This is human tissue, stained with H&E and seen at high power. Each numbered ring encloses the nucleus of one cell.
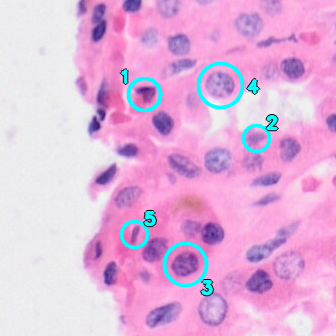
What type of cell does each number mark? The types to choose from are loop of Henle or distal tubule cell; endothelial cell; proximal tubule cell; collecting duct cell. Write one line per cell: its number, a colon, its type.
1: endothelial cell
2: loop of Henle or distal tubule cell
3: proximal tubule cell
4: loop of Henle or distal tubule cell
5: endothelial cell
